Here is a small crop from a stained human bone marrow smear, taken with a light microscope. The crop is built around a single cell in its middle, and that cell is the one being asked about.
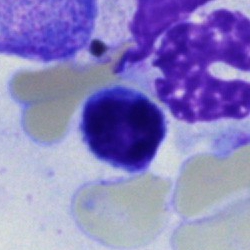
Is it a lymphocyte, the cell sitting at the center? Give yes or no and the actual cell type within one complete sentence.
Yes, the centre of the crop holds a lymphocyte.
